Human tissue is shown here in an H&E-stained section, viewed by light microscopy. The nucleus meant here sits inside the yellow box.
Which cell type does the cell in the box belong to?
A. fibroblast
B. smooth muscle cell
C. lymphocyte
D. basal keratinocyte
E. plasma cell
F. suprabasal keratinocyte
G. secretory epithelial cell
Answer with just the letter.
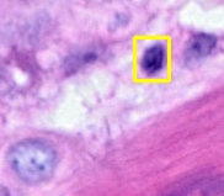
C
